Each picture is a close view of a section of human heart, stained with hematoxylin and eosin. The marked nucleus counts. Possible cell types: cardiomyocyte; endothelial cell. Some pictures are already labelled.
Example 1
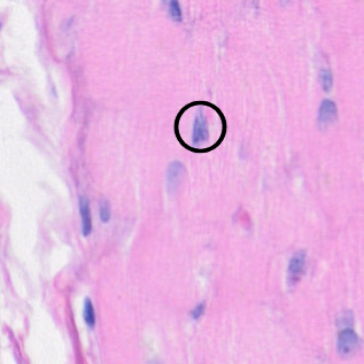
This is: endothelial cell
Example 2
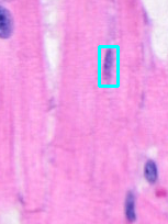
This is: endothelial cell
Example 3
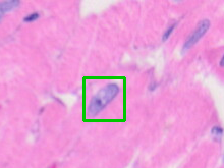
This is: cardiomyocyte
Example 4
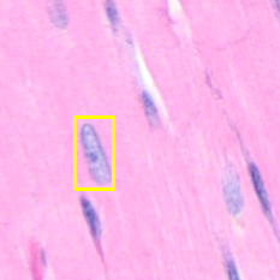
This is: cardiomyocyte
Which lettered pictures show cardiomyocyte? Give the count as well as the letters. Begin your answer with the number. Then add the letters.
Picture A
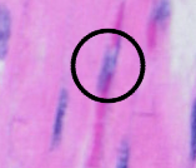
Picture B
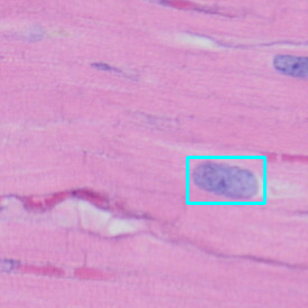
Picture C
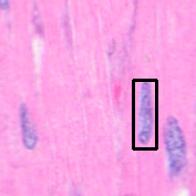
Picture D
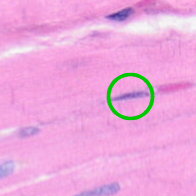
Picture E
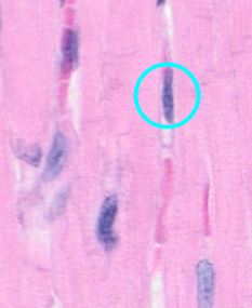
2, namely B, C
